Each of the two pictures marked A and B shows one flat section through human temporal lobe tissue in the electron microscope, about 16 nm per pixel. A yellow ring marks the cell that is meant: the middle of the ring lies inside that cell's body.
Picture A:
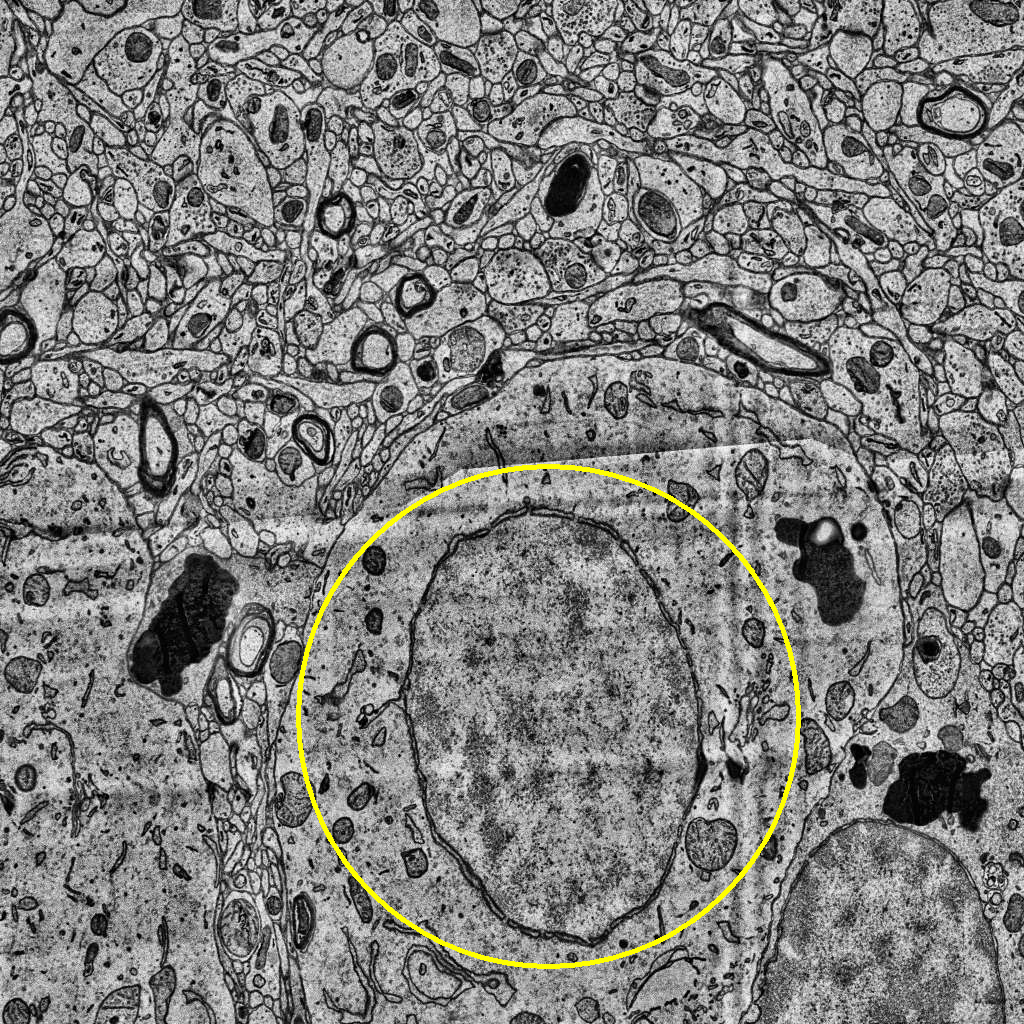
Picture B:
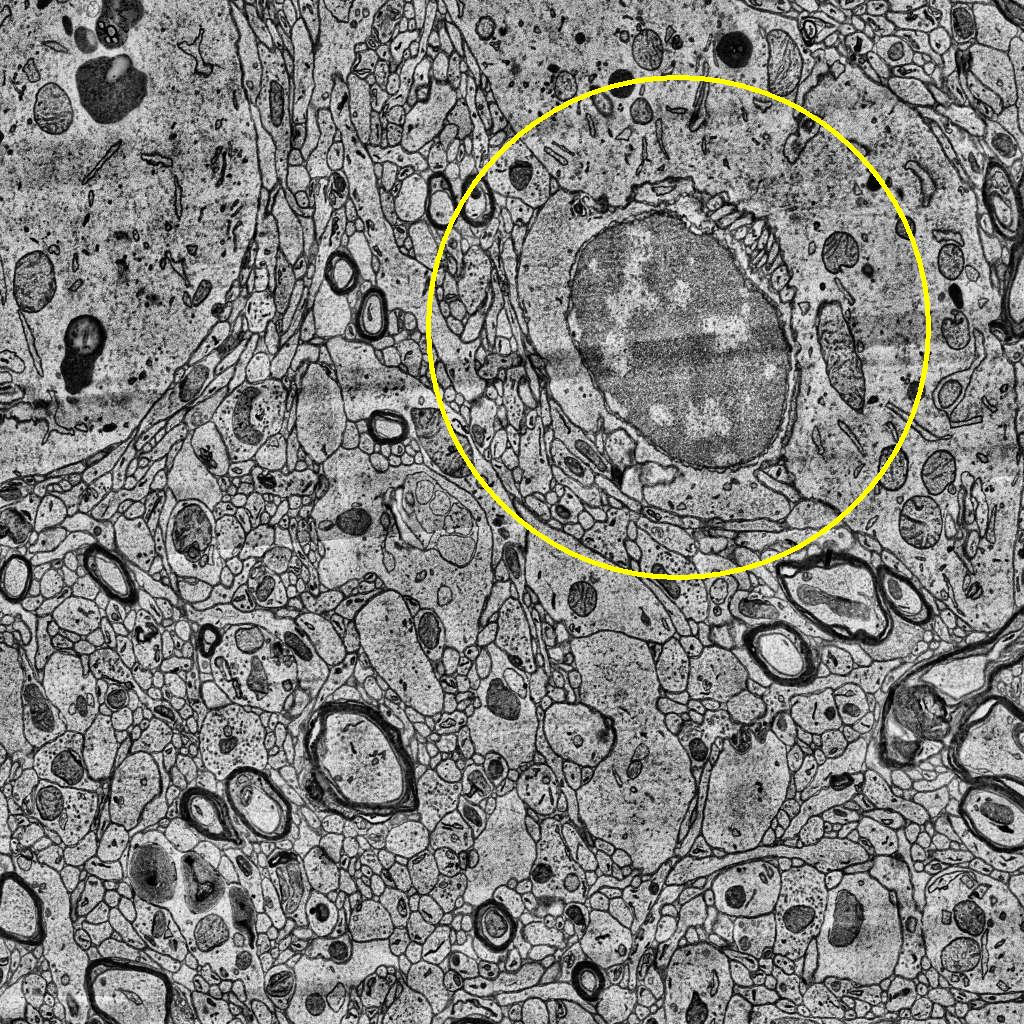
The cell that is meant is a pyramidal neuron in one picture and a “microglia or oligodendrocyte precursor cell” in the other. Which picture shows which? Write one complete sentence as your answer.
Picture B shows a “microglia or oligodendrocyte precursor cell”, while picture A shows a pyramidal neuron.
